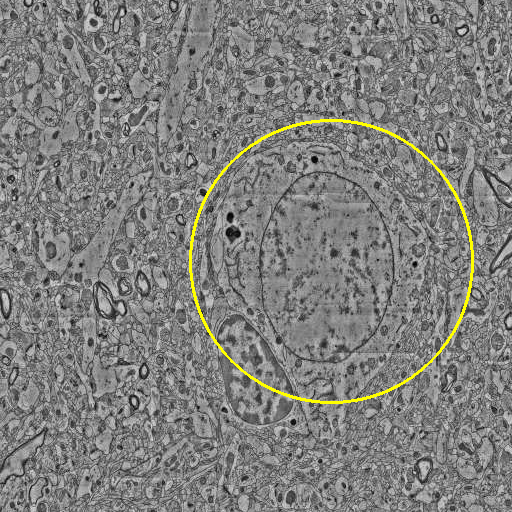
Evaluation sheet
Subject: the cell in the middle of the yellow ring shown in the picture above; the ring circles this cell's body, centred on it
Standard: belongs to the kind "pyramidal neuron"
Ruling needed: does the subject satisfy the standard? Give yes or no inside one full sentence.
Yes, the cell in the middle of the ring in the picture above belongs to the stated kind.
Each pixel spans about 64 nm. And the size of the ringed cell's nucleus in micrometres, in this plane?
In this plane, approximately 12 by 9 micrometers.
